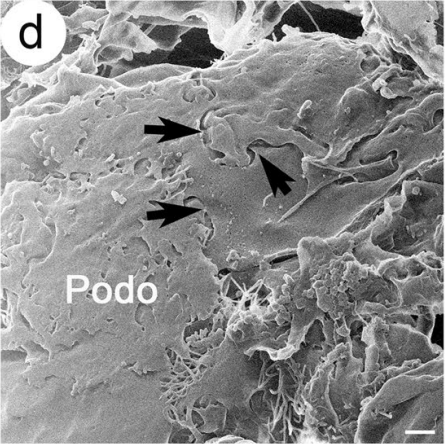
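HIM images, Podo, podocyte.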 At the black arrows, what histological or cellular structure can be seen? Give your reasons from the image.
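Junctional structures. The arrows point to seams where the edge of one flattened cell sheet meets and overlaps another.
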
